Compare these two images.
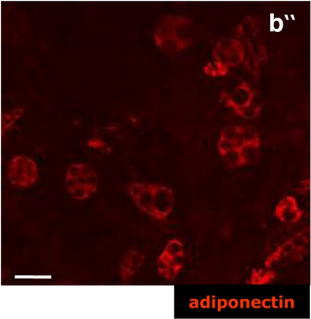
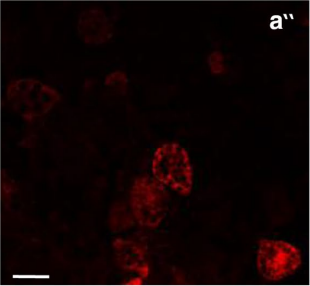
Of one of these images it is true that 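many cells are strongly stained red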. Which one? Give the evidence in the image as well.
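The first image. First image: many cells show bright red staining throughout the field. Second image: red staining is faint in most cells, with only a few brighter cells.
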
